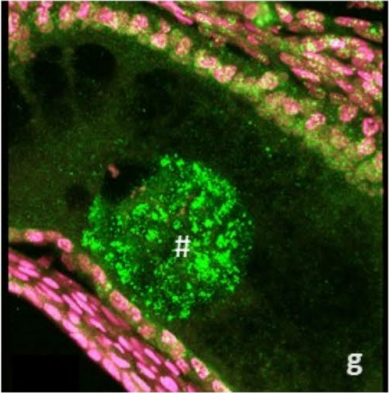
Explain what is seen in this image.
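This is part of an ovarian follicle, with a large oocyte surrounded by a layer of follicle cells. The surrounding cells have elongated, densely packed magenta nuclei arranged in layers along the edge of the oocyte. Inside the oocyte a large, rounded aggregate of bright green granules forms the Balbiani body. The remaining oocyte cytoplasm shows only faint, diffuse green labeling, with somewhat finer green dots in the cell layer at its margin.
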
